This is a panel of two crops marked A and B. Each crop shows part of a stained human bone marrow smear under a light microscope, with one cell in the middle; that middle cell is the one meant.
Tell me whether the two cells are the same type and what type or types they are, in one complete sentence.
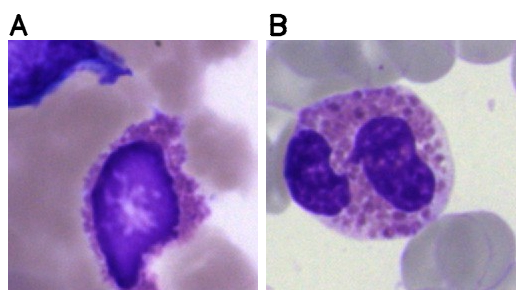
Yes, the cells at the centres of the two crops are eosinophils.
